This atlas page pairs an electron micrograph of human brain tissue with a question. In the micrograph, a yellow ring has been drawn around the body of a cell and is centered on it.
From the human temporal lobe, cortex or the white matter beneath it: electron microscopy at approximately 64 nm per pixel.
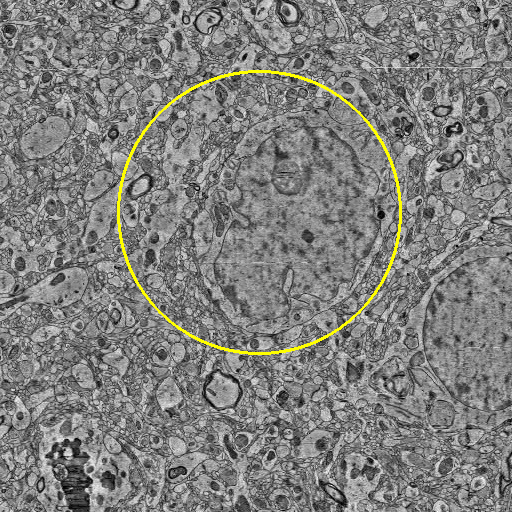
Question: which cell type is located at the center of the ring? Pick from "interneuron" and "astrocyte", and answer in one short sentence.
Located at the center of the ring is an interneuron.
